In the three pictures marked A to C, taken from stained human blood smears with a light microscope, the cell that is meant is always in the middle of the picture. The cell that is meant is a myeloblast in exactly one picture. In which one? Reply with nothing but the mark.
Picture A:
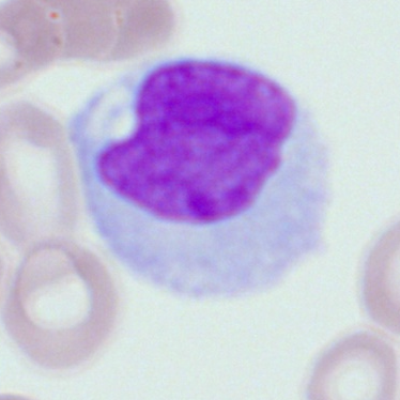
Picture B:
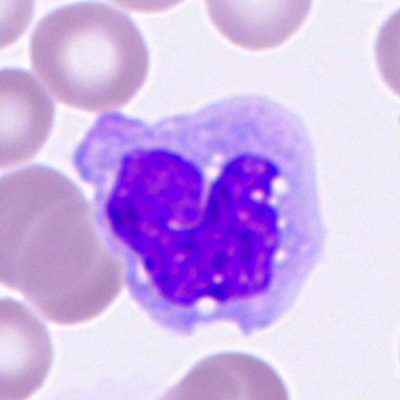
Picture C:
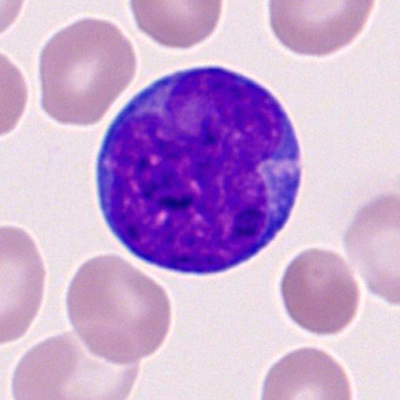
C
